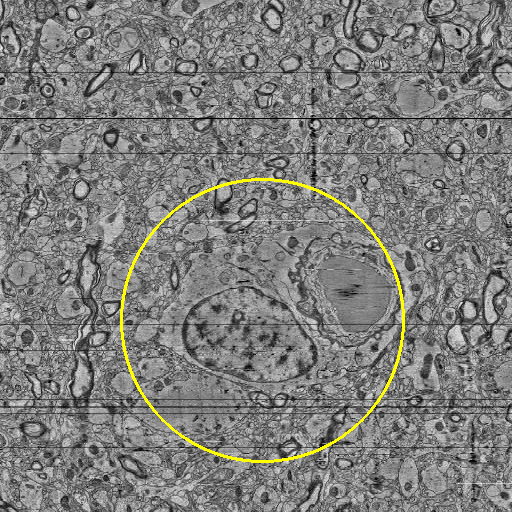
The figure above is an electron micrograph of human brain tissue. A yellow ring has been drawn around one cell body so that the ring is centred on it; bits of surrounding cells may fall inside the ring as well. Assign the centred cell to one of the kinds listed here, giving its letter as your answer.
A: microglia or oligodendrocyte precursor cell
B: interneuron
A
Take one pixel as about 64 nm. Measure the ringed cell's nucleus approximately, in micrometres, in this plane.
Approximately 9 x 6 micrometres in this plane.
